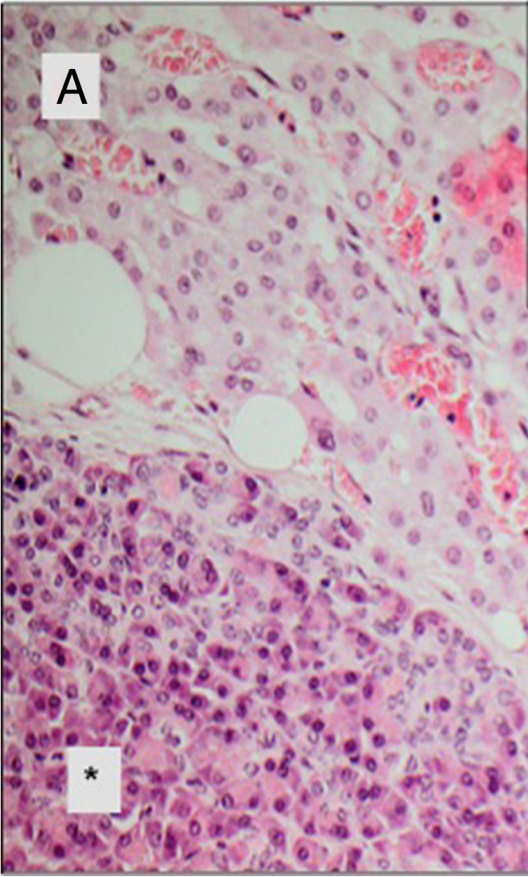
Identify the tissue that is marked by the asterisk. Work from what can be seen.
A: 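Adjacent pancreatic tissue. At lower left, small tightly packed cells with dark purple cytoplasm form small glandular groups. These cells differ sharply from the larger pale pink cells in the rest of the panel.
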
